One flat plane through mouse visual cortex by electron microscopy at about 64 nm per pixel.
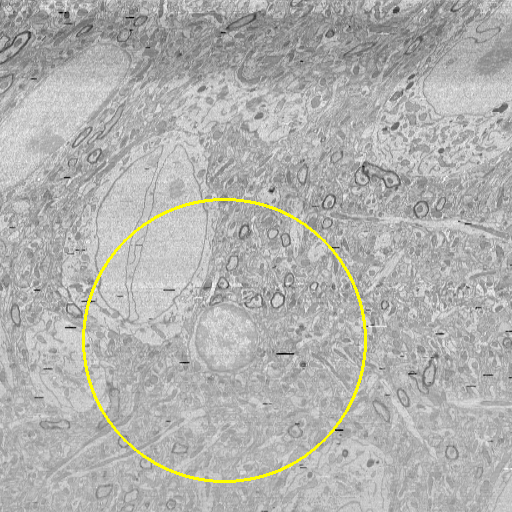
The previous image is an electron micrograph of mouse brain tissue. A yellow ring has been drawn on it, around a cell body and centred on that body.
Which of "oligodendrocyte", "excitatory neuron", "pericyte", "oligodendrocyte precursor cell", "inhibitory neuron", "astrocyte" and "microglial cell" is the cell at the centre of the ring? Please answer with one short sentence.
The cell body at the centre of the ring belongs to an oligodendrocyte.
